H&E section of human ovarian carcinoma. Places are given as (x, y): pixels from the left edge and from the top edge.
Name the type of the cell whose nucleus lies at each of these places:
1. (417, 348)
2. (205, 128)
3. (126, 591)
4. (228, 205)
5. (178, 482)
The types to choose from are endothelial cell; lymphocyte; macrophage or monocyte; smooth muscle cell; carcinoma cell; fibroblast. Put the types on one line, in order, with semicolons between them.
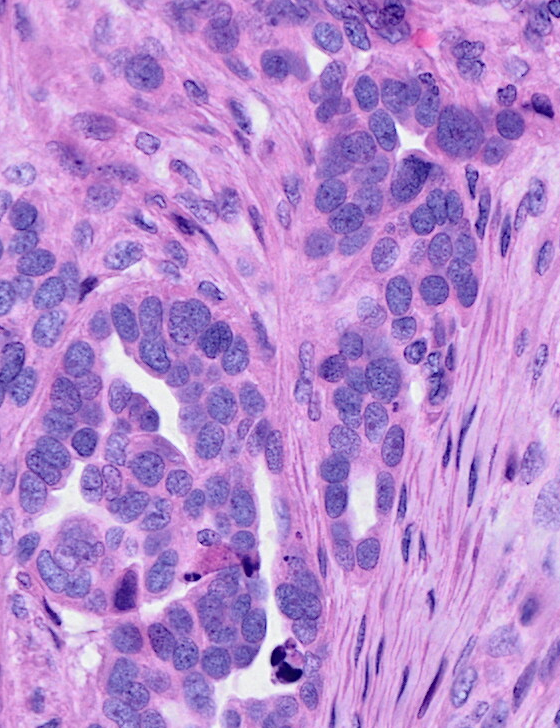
macrophage or monocyte; fibroblast; carcinoma cell; fibroblast; carcinoma cell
